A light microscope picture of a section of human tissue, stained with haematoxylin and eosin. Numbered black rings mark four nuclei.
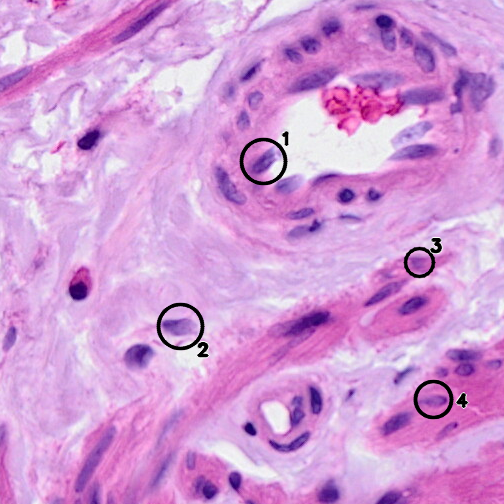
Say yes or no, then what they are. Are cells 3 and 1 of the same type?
No; cell 3 is a smooth muscle cell, and cell 1 is an endothelial cell.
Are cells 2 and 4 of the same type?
No, cell 2 here is a fibroblast, and cell 4 here is a smooth muscle cell.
